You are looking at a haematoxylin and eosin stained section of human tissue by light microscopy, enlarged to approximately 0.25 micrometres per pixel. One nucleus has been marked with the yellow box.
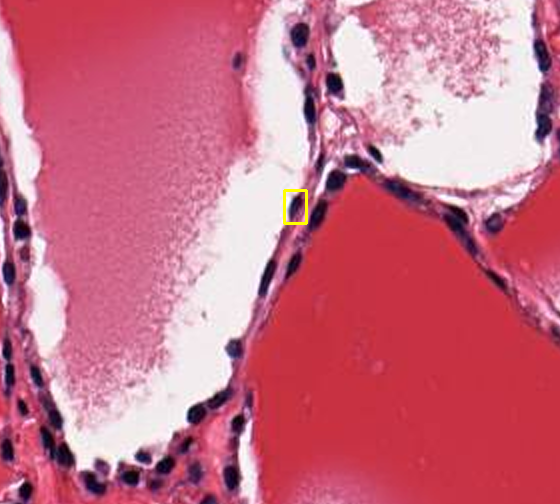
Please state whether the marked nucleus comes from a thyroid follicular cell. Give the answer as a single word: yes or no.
yes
